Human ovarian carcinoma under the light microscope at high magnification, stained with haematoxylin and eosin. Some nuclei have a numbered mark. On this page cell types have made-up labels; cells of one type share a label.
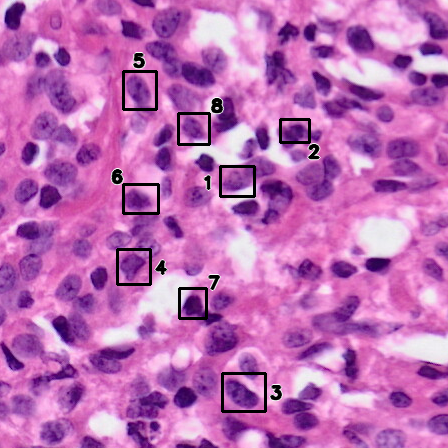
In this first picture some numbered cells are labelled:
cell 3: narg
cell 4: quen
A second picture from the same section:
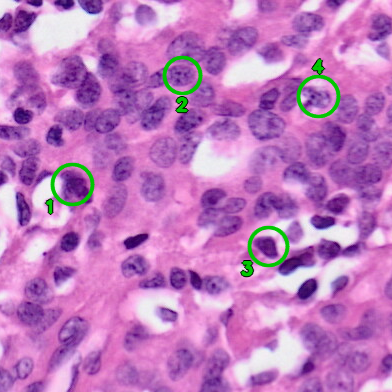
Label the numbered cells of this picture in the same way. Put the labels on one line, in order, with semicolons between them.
quen; quen; quen; narg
